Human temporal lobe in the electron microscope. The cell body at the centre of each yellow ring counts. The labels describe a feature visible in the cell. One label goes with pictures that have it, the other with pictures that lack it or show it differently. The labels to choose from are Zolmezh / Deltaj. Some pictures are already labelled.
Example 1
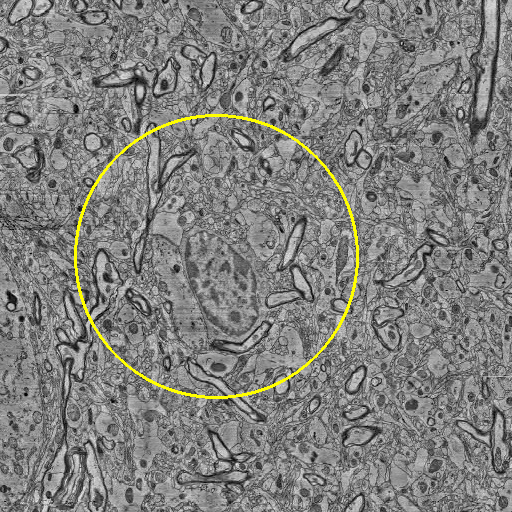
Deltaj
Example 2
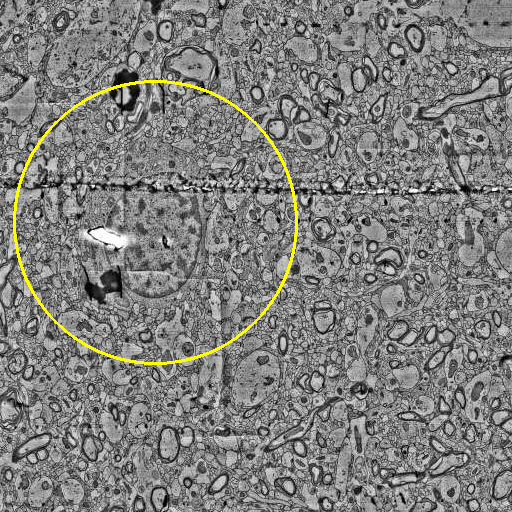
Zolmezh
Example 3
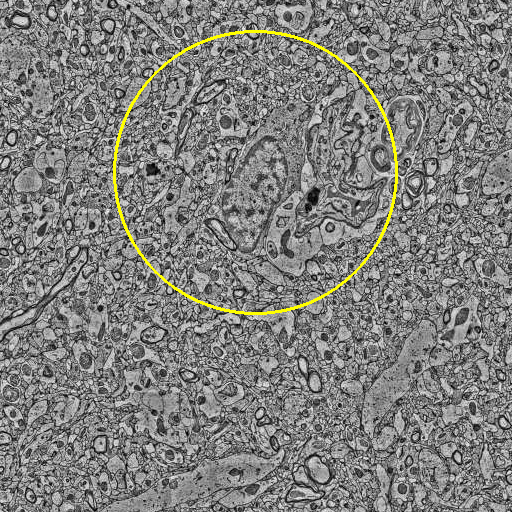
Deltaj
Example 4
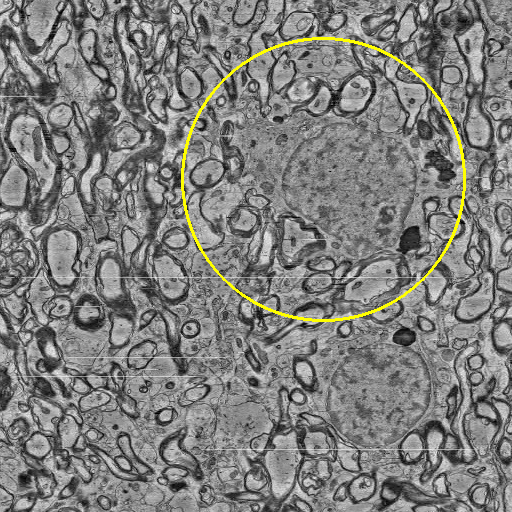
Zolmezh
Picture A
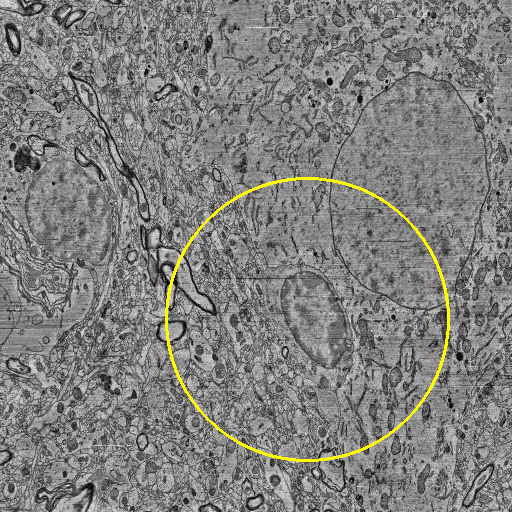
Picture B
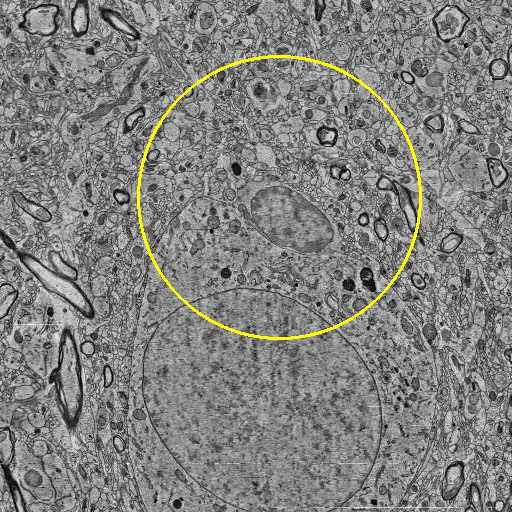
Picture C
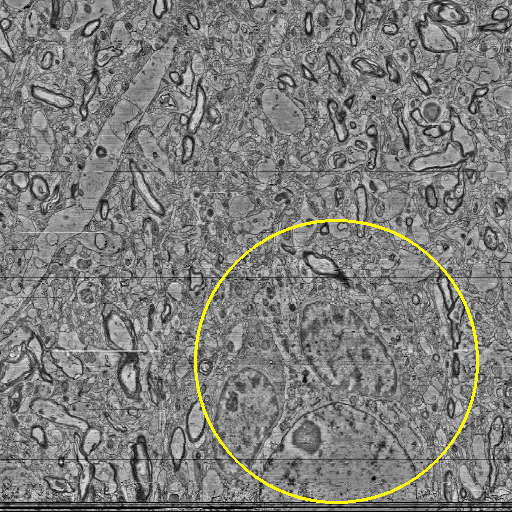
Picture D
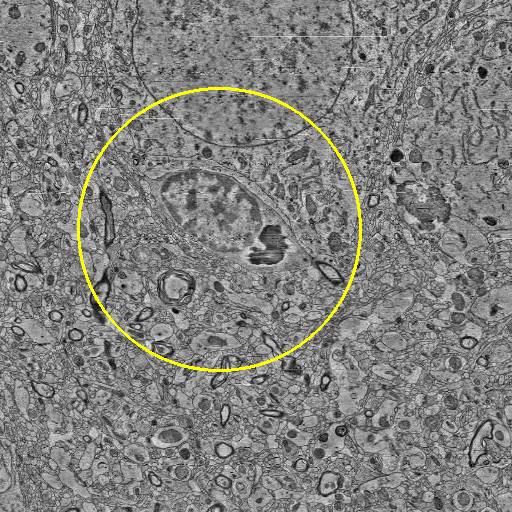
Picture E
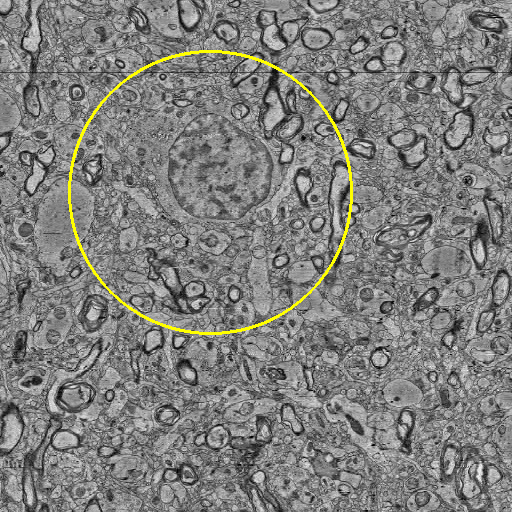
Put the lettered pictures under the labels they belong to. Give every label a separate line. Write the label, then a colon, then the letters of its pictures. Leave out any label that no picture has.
Zolmezh: E
Deltaj: A, B, C, D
